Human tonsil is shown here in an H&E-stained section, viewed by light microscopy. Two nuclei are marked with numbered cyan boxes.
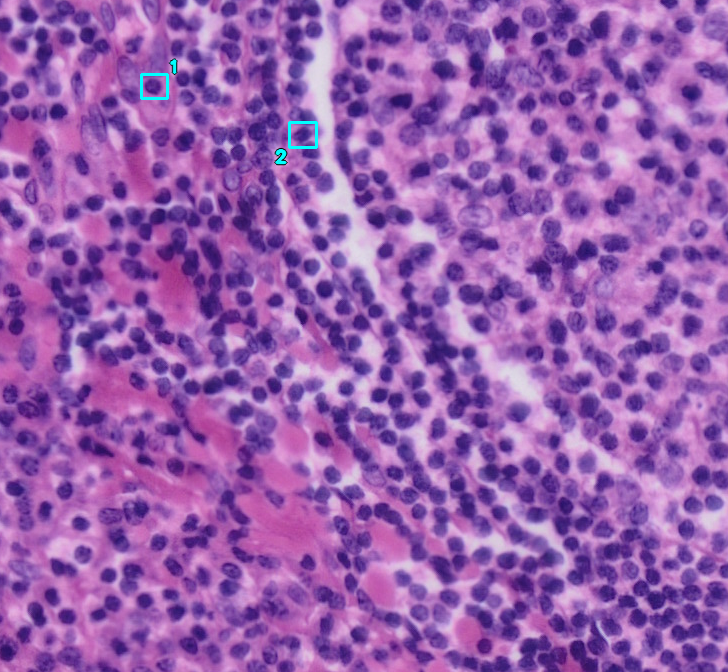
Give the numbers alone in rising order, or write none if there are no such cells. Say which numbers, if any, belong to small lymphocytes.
2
